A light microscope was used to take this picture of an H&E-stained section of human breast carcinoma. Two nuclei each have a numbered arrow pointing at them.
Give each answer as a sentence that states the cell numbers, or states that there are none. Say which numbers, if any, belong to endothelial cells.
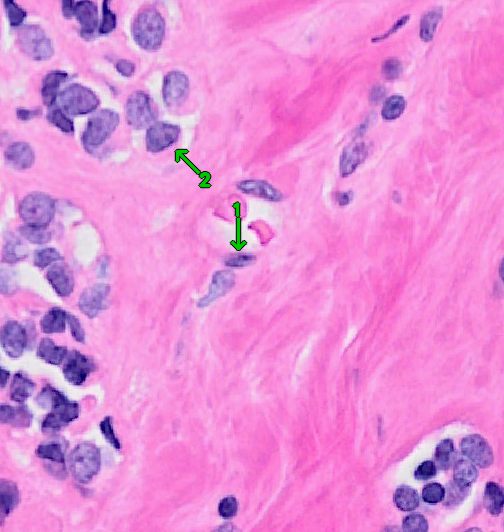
Just the cell marked 1 is an endothelial cell; none of the other marked cells is.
